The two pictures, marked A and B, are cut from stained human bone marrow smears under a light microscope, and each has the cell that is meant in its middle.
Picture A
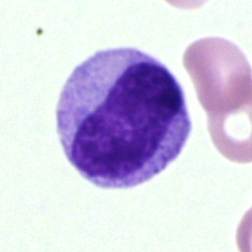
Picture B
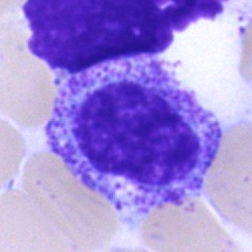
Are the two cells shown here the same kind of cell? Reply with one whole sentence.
No, the types are not the same, since picture A shows a metamyelocyte and picture B a myelocyte.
